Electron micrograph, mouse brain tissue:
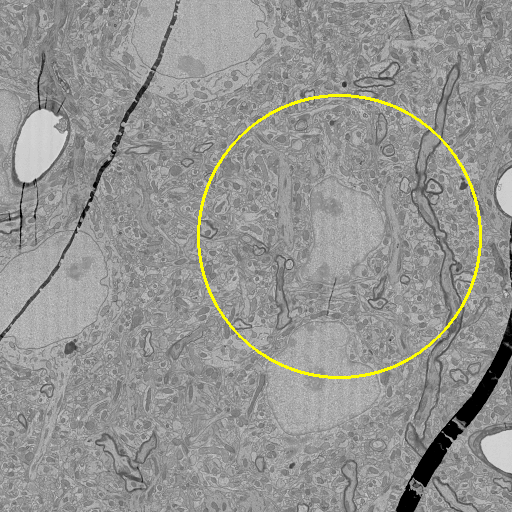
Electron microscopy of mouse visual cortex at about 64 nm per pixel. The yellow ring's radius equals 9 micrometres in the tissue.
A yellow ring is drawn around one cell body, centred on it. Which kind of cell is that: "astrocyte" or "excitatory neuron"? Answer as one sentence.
It is an astrocyte at the centre of the ring.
